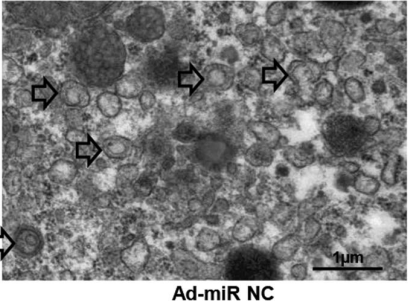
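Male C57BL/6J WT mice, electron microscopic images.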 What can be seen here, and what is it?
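Numerous vesicles are outlined by a double membrane, the appearance of autophagosomes, and they lie scattered fairly evenly across the field. One of them, near the lower left, encloses denser material, as an autolysosome might. Larger, darker rounded bodies with granular contents sit among the vesicles. The background cytoplasm is finely granular, with paler patches between the organelles.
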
